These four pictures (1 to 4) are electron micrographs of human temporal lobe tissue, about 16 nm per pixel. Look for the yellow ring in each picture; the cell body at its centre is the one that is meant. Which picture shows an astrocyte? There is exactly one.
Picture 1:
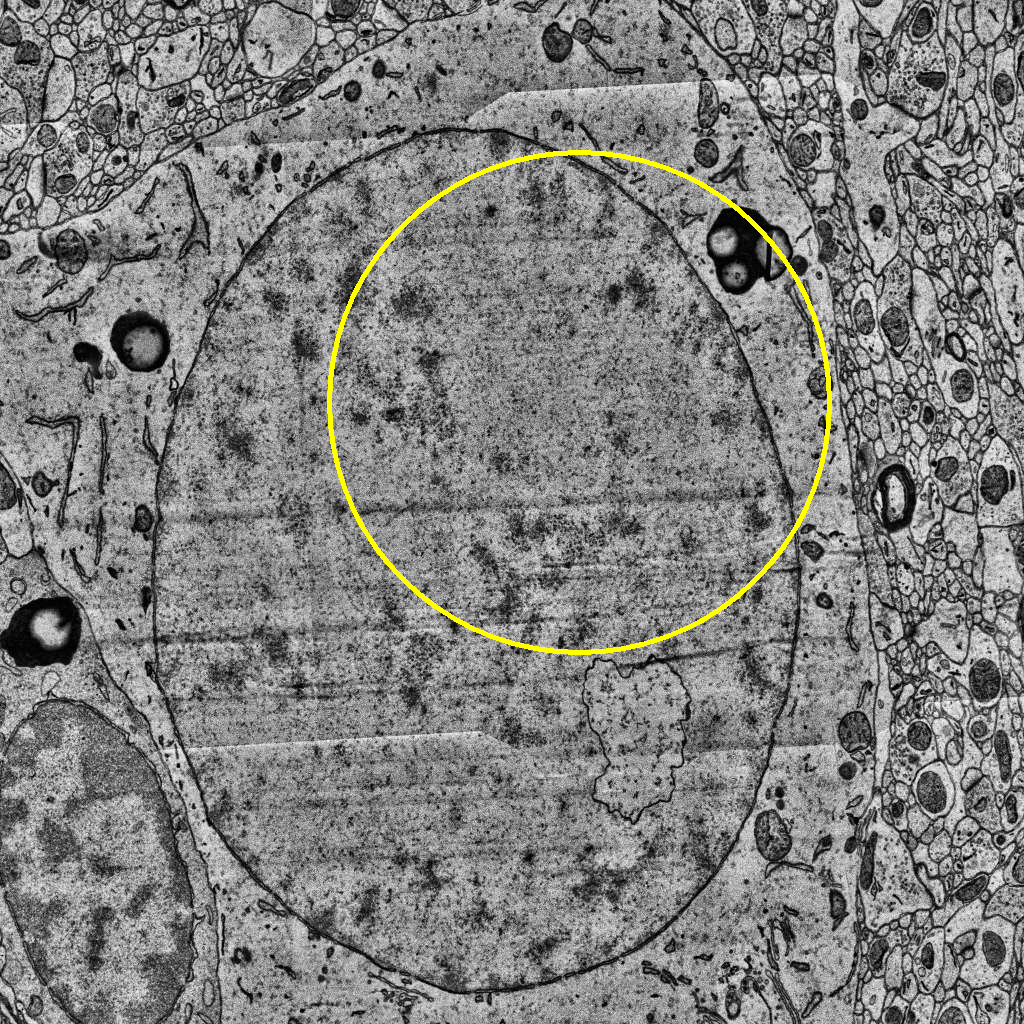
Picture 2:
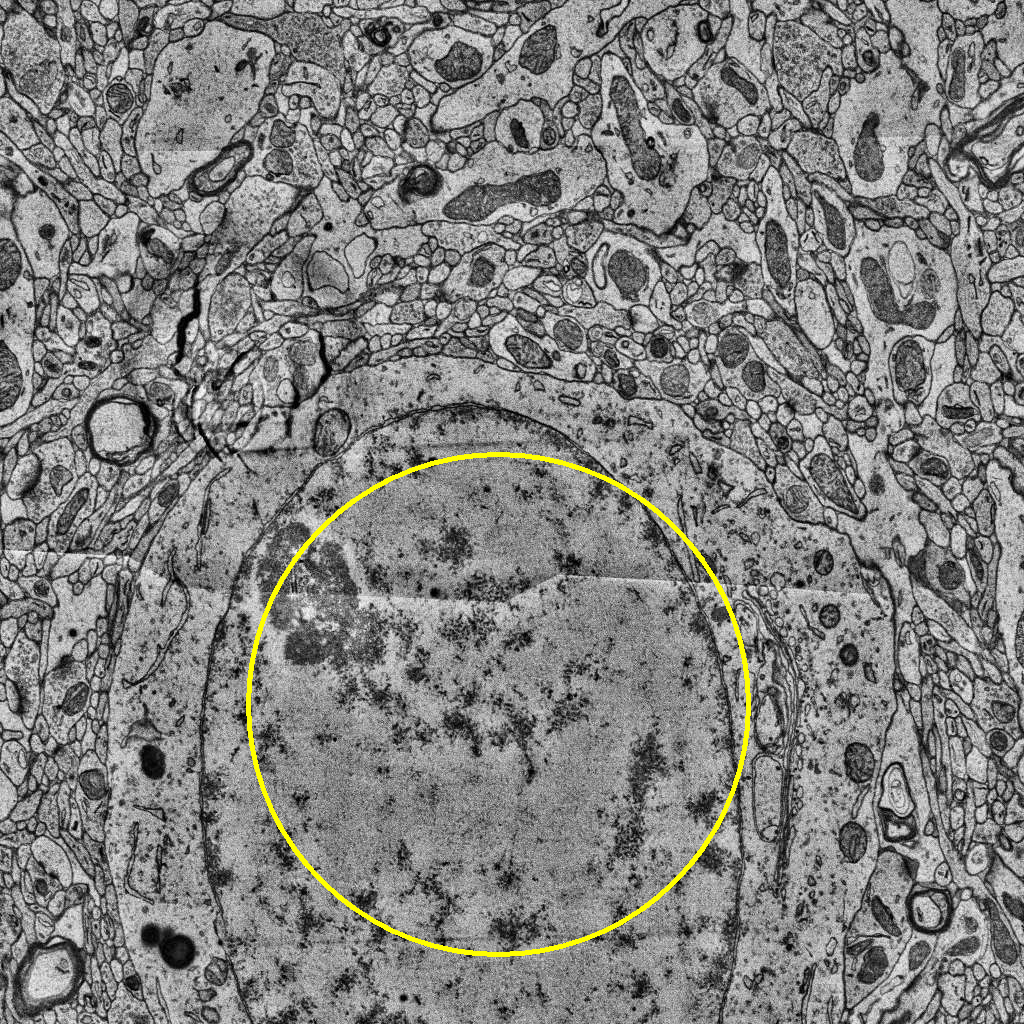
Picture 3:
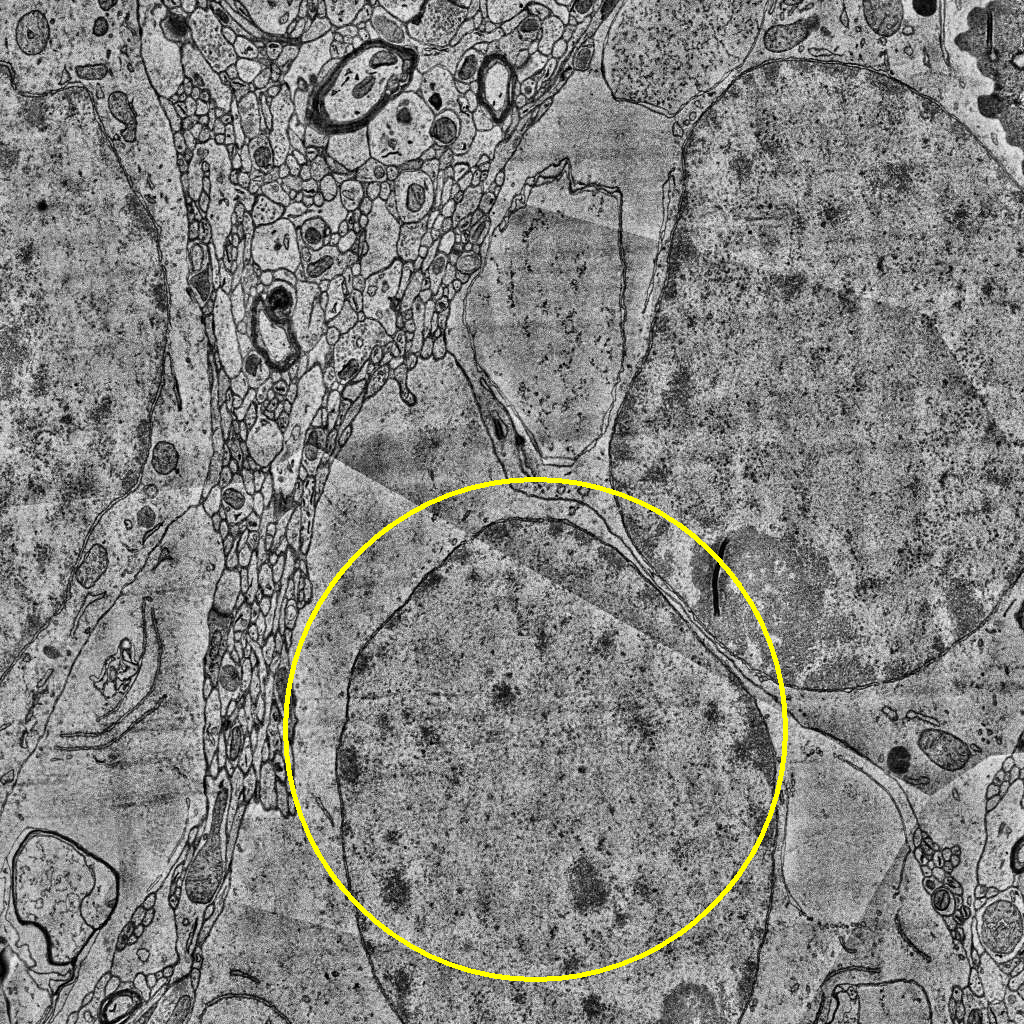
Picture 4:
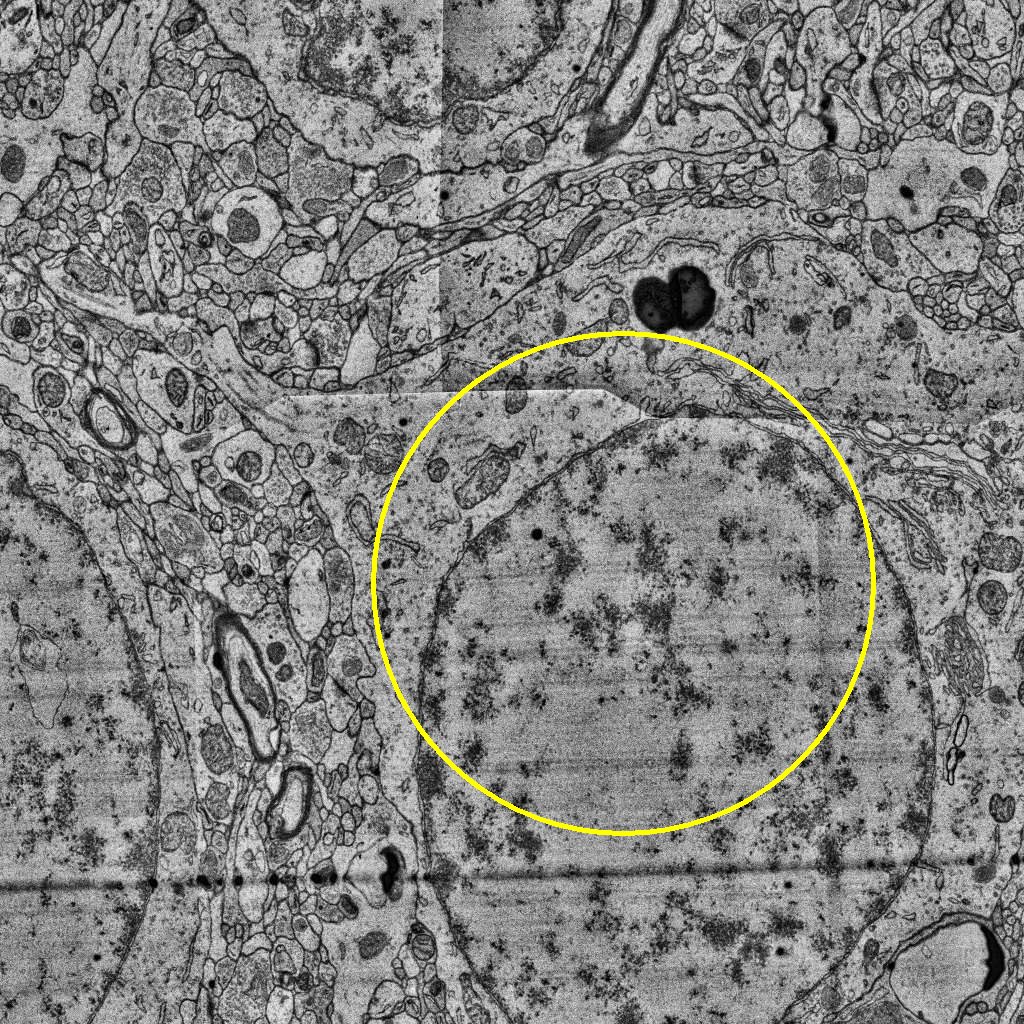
It is picture 3 that shows the astrocyte.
